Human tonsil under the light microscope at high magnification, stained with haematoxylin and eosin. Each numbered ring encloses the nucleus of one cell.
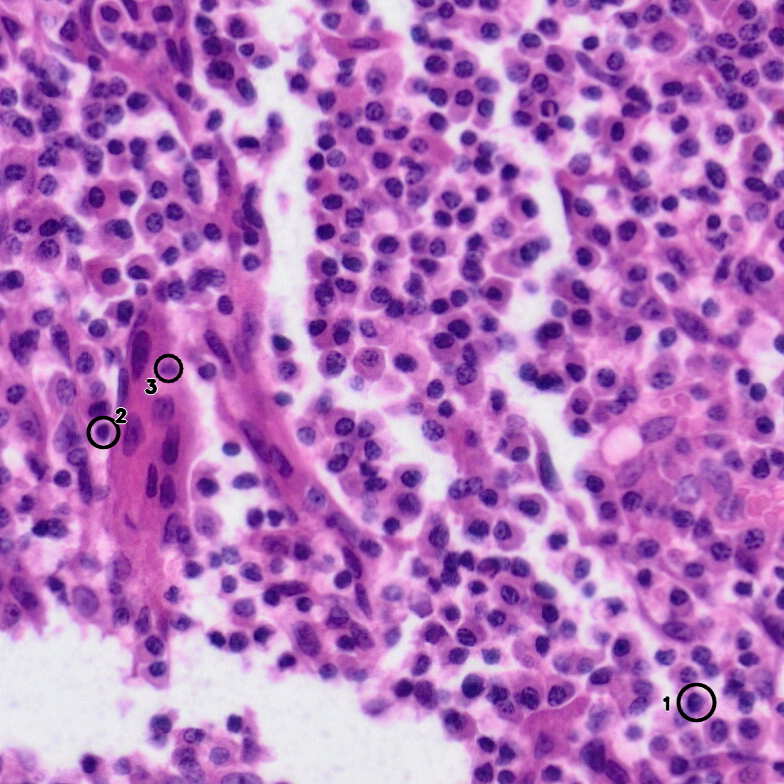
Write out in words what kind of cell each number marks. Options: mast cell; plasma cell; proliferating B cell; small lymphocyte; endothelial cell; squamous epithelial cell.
Cell 1 is a plasma cell. Cells 2 and 3 are squamous epithelial cells.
